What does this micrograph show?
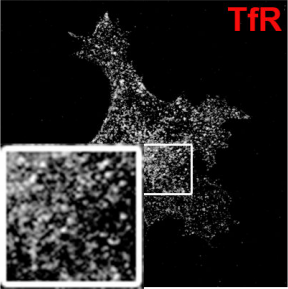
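A spread cell with several processes is labelled as numerous small bright puncta scattered through the cytoplasm. The puncta are dispersed rather than arranged into ring outlines, as seen enlarged in the inset.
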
